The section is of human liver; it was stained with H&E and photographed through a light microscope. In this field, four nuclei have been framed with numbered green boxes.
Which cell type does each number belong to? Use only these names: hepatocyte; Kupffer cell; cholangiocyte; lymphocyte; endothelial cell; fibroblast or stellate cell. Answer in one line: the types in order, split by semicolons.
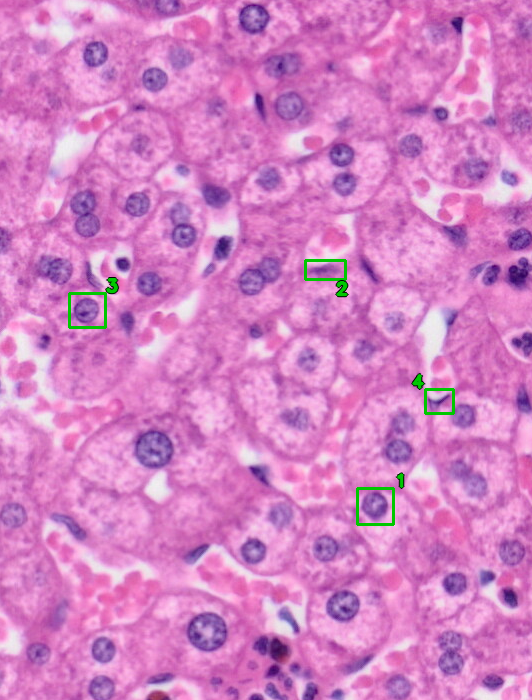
hepatocyte; endothelial cell; hepatocyte; endothelial cell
